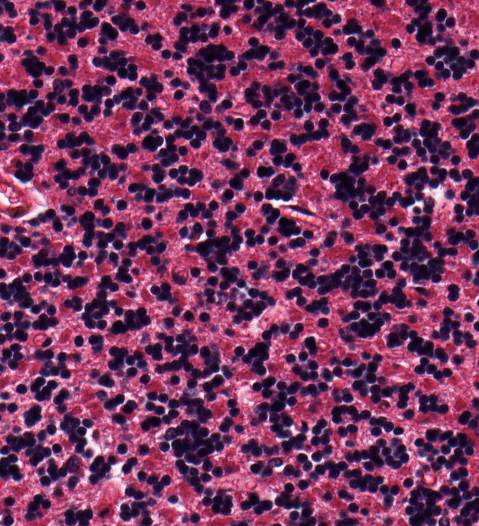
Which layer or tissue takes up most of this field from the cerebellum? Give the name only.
granular layer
